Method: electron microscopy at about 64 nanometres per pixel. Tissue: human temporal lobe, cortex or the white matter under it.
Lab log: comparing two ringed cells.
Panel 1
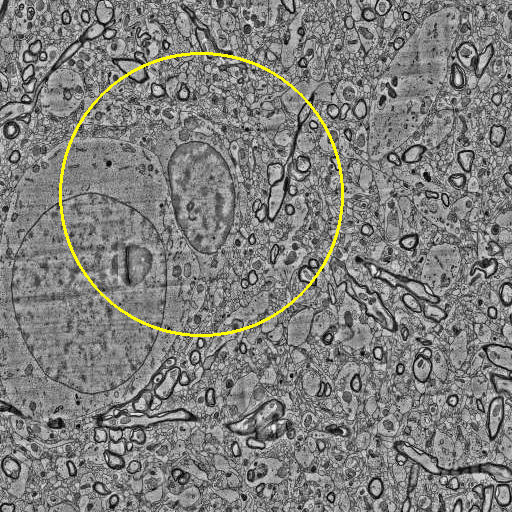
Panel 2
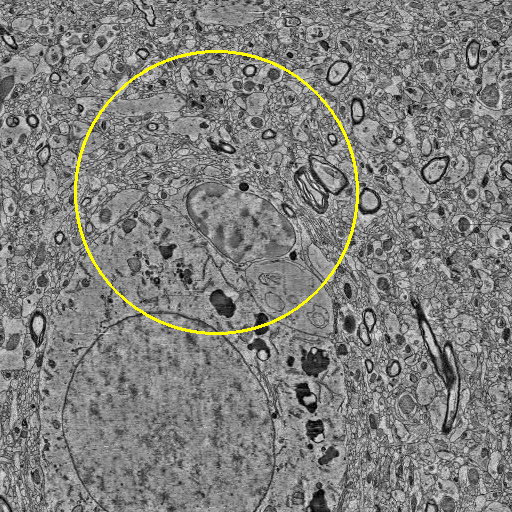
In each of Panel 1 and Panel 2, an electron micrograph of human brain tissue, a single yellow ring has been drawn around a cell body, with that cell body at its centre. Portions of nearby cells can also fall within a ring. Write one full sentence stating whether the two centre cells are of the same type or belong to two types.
The cells at the ring centres in Panel 1 and Panel 2 belong to two types.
